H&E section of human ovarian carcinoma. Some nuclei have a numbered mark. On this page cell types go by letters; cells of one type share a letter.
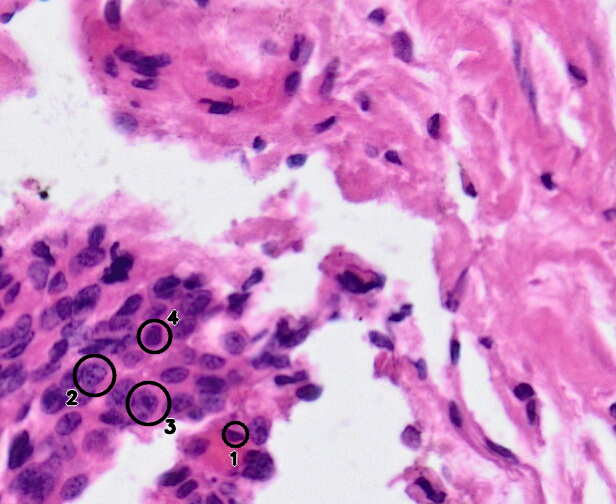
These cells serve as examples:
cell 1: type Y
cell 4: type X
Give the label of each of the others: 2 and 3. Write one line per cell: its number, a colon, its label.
2: type X
3: type X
